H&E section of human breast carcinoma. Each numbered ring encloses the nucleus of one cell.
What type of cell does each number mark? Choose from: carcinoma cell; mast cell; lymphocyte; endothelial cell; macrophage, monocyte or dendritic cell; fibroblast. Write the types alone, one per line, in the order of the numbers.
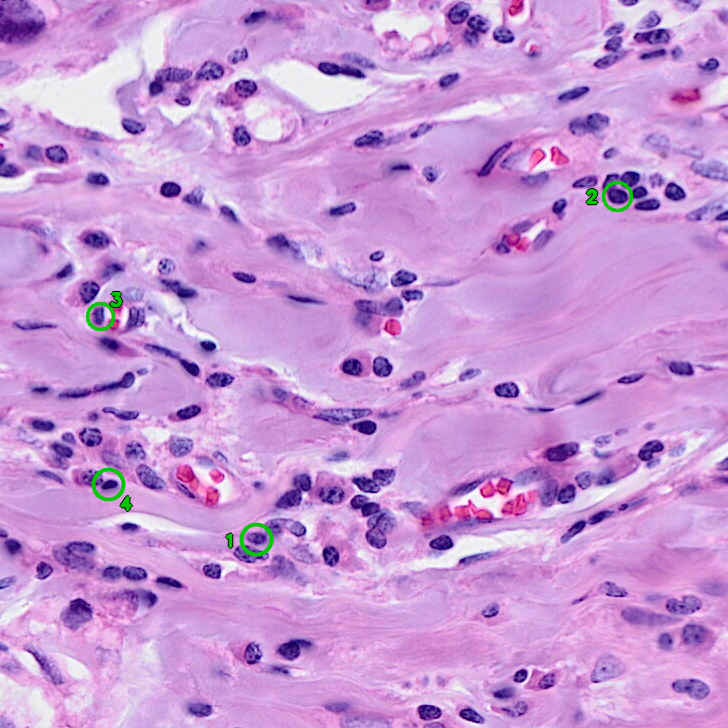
lymphocyte
lymphocyte
endothelial cell
lymphocyte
